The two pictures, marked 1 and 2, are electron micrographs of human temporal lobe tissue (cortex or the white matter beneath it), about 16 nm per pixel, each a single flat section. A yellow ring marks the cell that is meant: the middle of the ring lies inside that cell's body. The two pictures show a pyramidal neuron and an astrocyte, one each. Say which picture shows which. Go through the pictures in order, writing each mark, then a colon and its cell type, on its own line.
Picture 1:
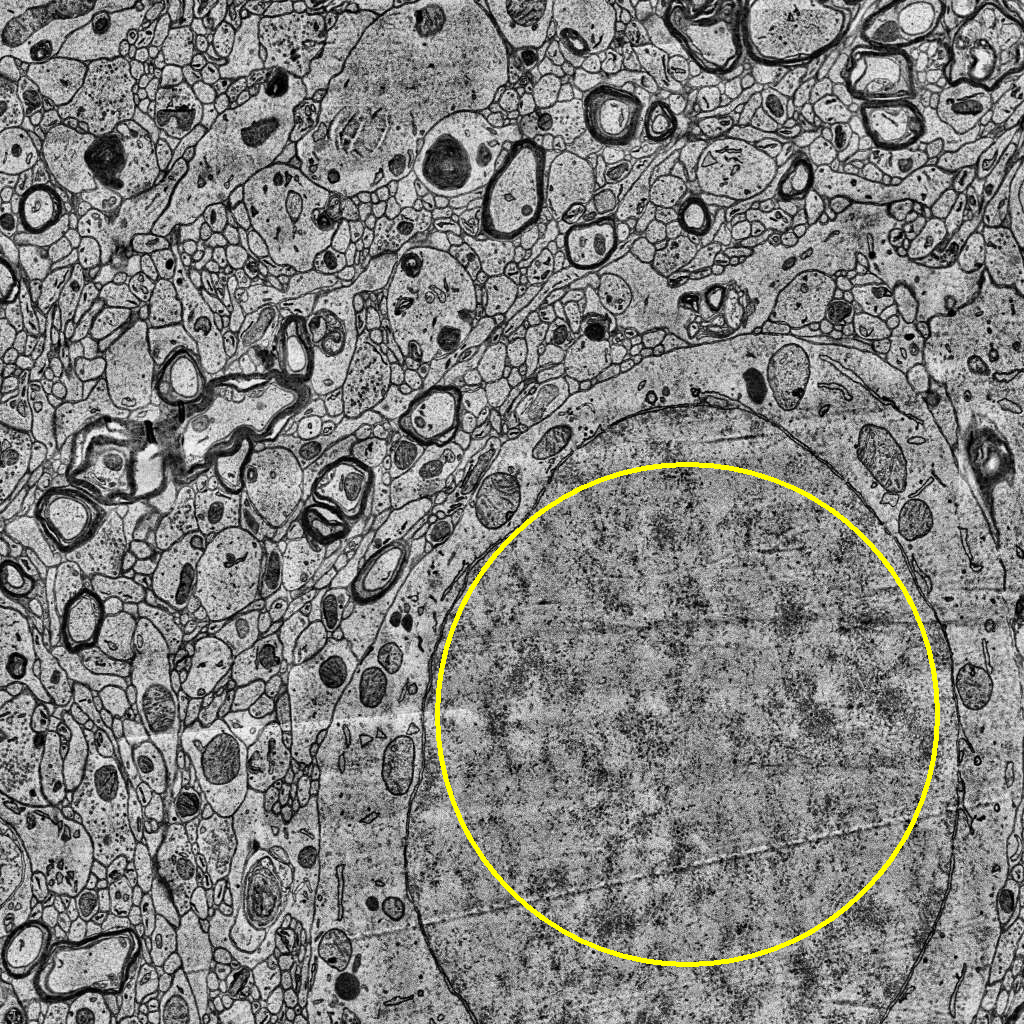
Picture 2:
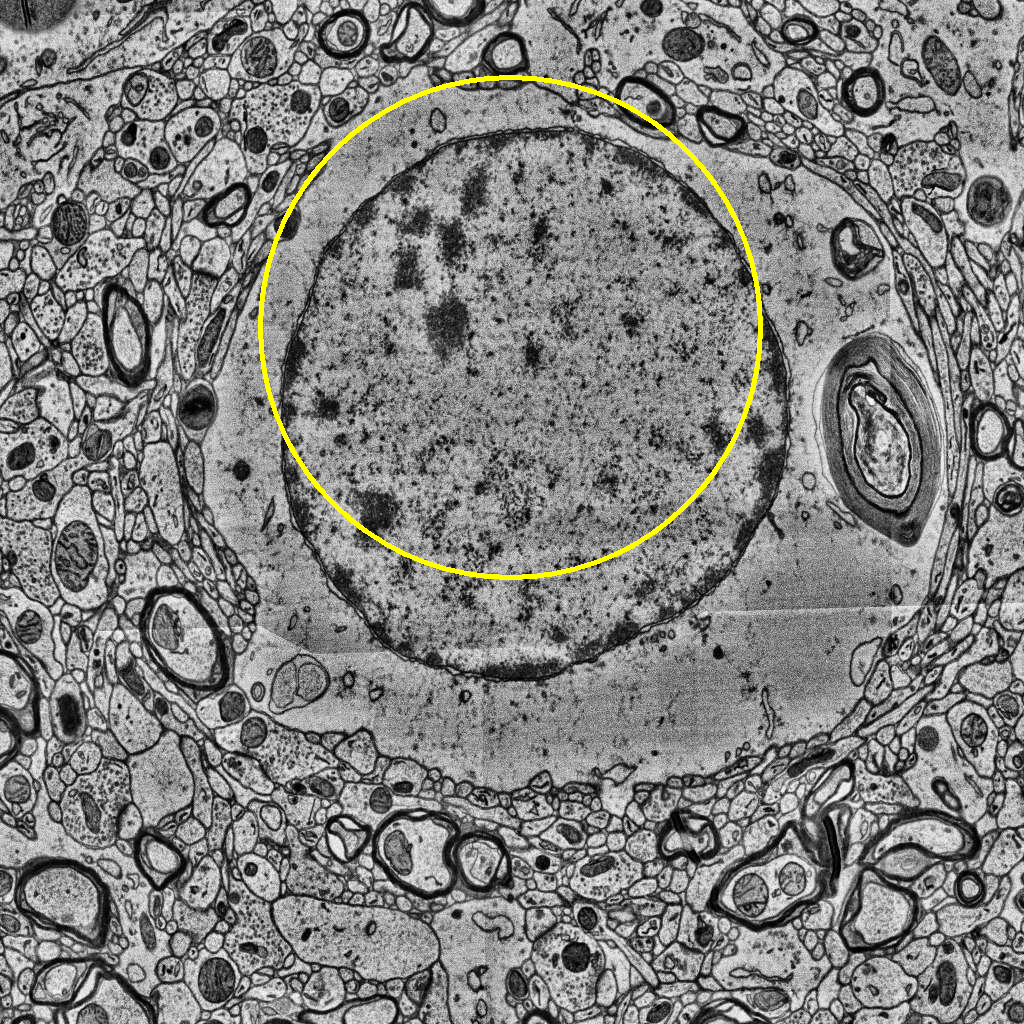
1: pyramidal neuron
2: astrocyte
